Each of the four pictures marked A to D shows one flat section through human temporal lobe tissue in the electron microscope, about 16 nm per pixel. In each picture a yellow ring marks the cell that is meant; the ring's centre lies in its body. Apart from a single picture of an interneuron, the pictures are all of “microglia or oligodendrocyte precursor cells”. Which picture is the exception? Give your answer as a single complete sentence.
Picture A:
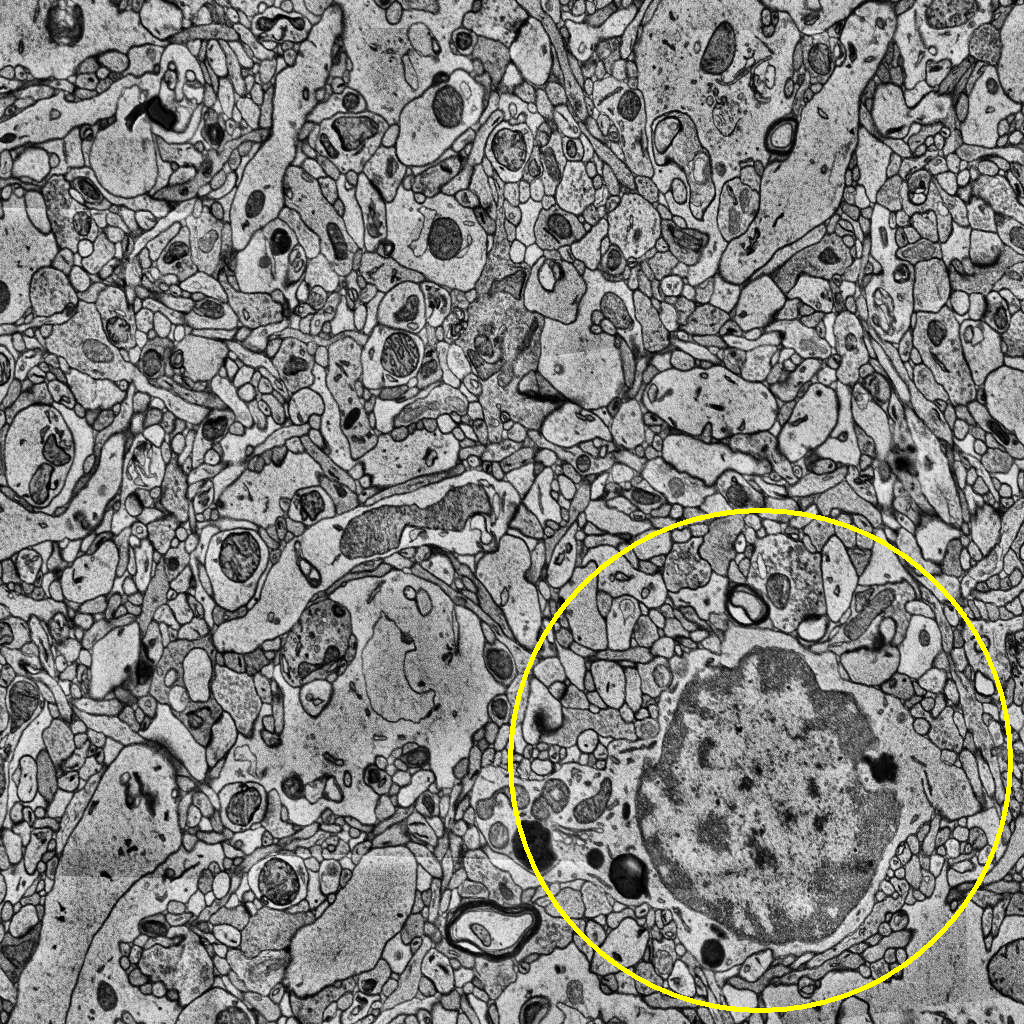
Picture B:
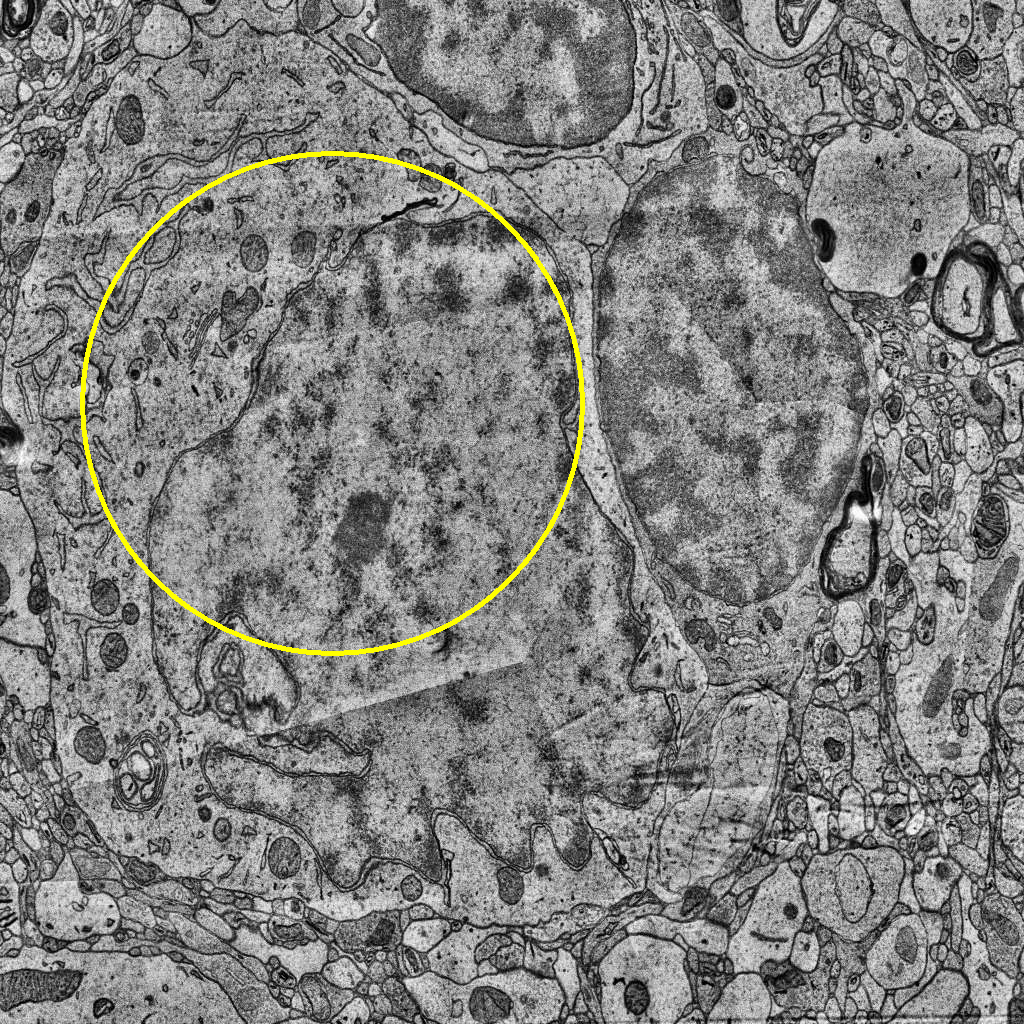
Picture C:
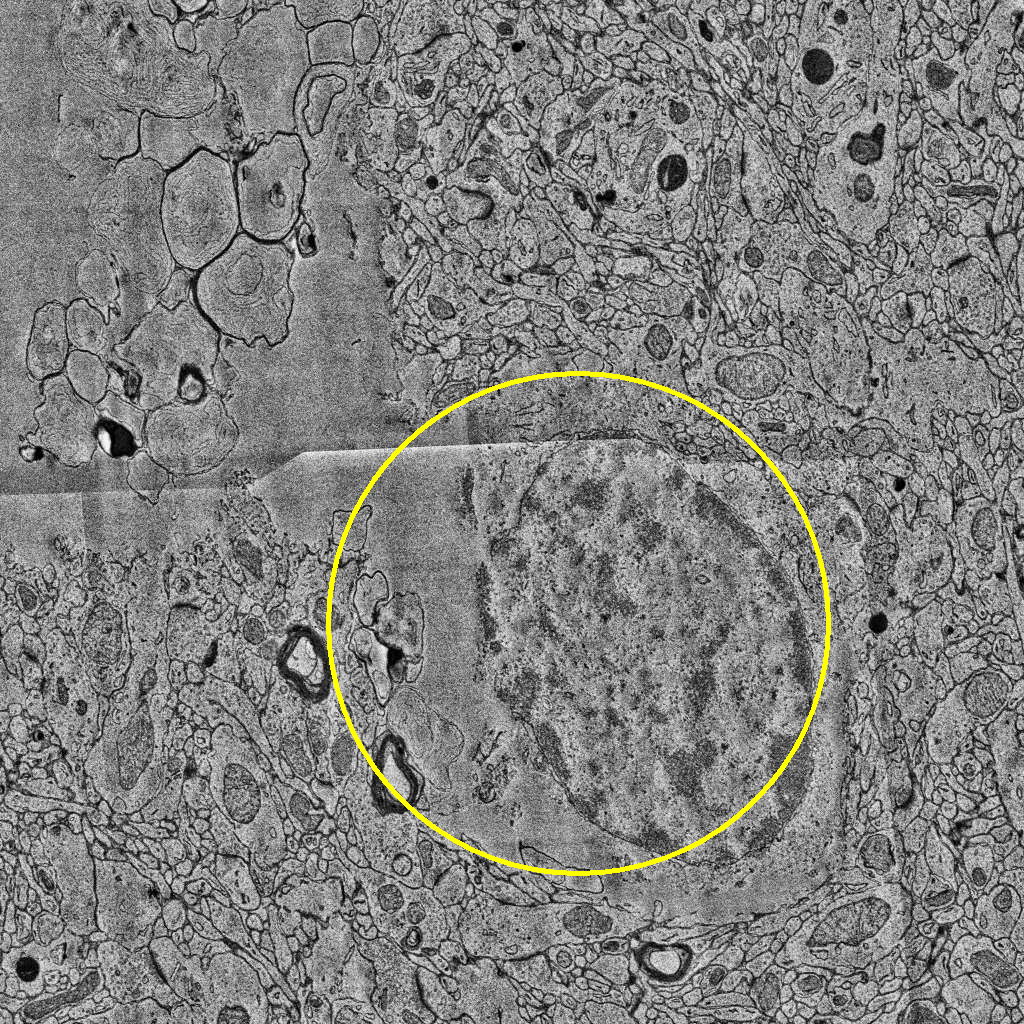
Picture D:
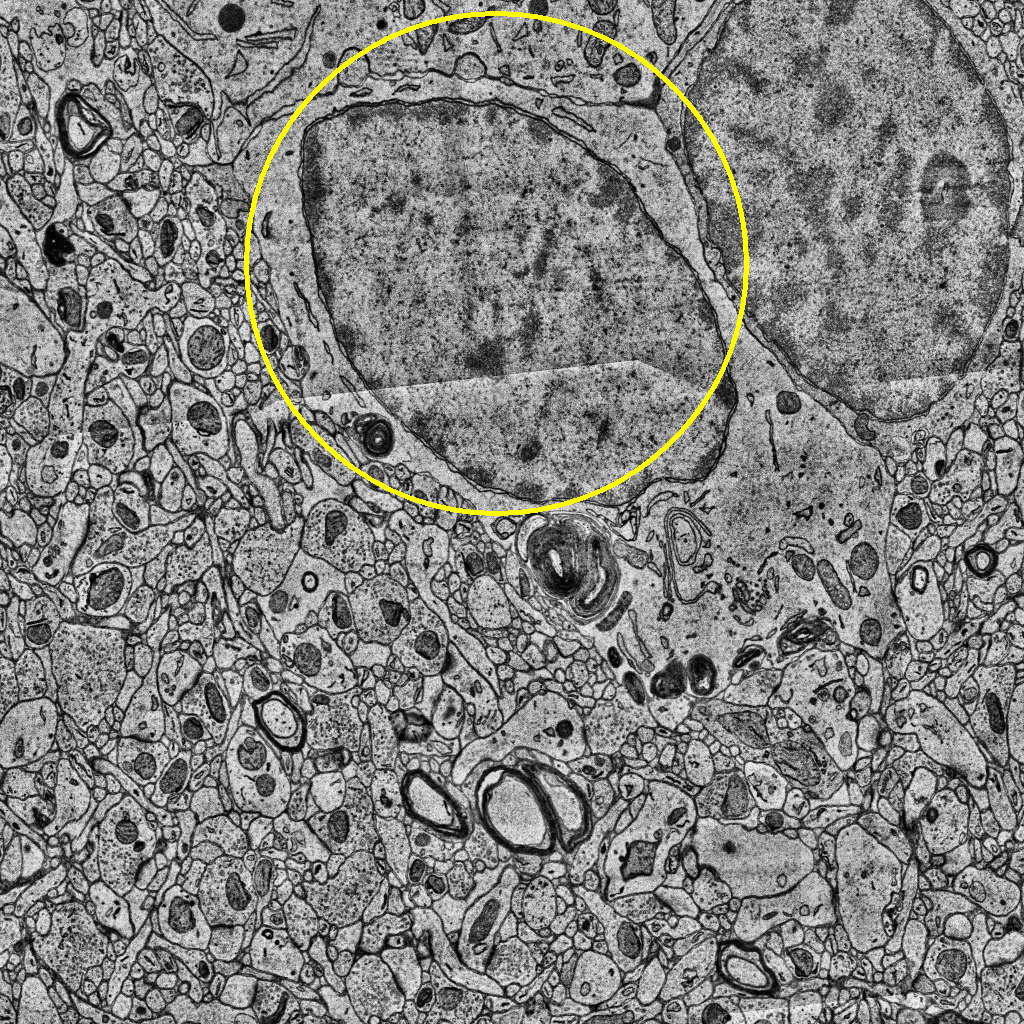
Picture B is the one that shows the interneuron.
